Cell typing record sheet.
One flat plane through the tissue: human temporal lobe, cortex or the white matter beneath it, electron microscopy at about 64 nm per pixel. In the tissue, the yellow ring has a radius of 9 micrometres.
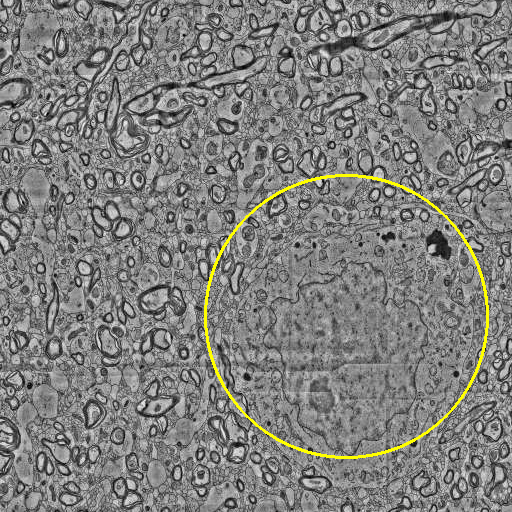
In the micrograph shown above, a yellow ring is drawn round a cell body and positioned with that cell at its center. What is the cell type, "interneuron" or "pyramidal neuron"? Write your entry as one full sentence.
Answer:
The cell body at the center of the ring belongs to a pyramidal neuron.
